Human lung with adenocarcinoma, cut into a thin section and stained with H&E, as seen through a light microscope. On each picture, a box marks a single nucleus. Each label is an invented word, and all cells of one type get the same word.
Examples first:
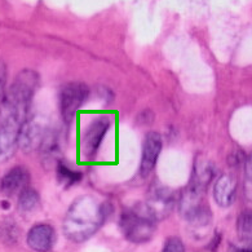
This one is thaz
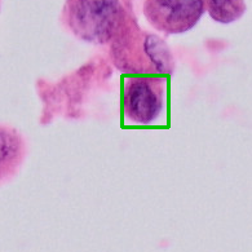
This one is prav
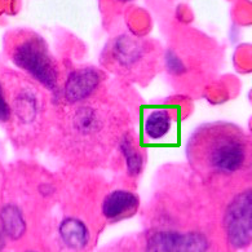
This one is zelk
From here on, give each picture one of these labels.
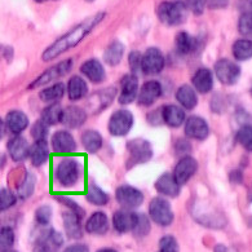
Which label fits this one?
zelk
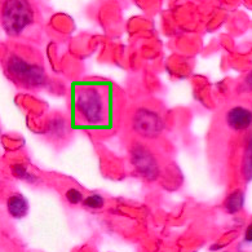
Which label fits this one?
prav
